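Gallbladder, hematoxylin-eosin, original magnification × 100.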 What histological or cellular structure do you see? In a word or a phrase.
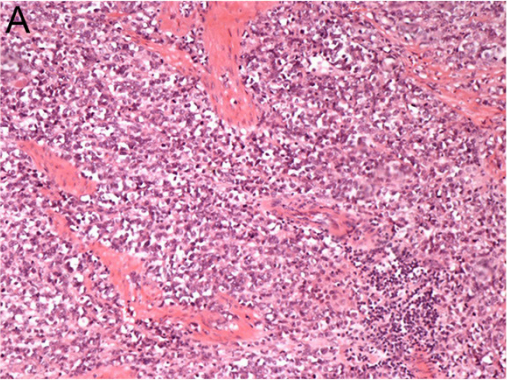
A: Cellular nests and sheets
